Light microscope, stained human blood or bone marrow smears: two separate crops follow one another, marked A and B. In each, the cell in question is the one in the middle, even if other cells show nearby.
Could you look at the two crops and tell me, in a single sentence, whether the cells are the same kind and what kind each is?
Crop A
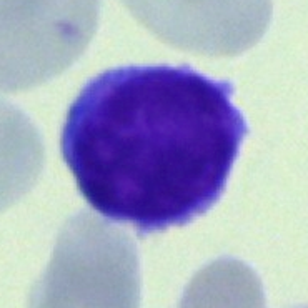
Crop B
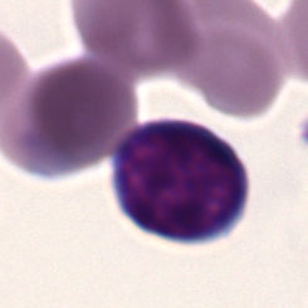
Yes, the middle cells in the two crops are lymphocytes.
